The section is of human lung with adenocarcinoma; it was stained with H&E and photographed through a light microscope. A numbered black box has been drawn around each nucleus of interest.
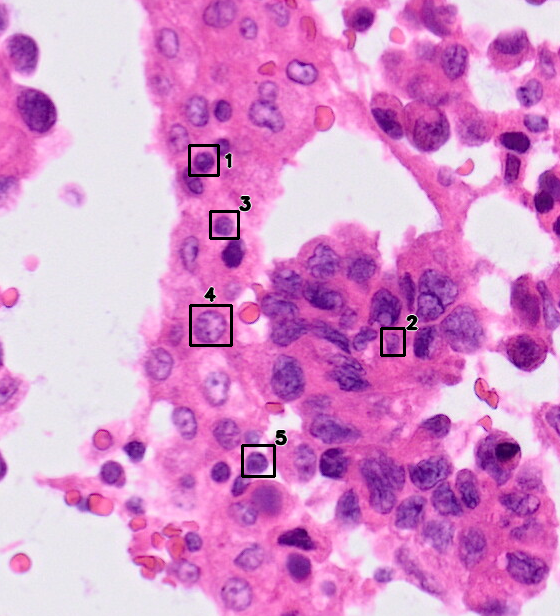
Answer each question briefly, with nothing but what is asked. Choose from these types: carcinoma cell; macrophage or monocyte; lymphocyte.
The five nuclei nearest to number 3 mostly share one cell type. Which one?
macrophage or monocyte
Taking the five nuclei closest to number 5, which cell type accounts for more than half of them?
lymphocyte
